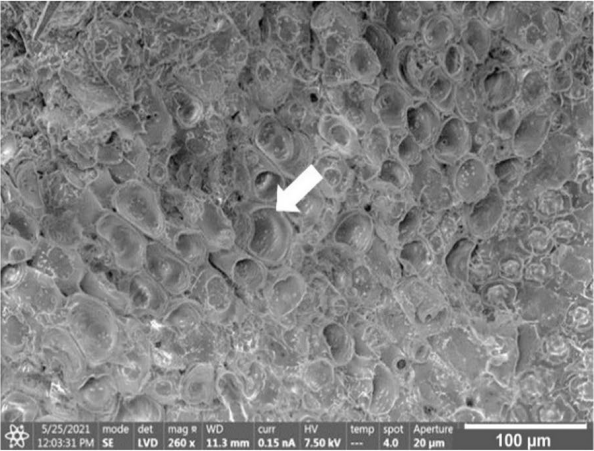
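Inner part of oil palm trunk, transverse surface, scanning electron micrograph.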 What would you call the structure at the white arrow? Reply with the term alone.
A: Empty parenchyma lumen.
